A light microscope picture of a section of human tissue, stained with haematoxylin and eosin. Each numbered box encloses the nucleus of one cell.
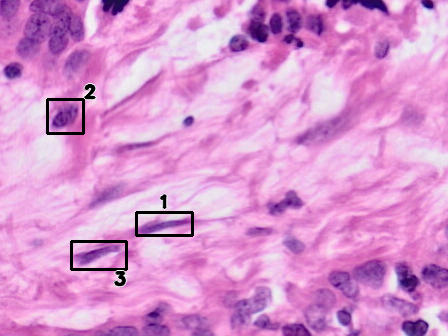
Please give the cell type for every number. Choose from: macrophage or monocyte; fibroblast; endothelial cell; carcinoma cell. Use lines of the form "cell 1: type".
cell 1: fibroblast
cell 2: macrophage or monocyte
cell 3: fibroblast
